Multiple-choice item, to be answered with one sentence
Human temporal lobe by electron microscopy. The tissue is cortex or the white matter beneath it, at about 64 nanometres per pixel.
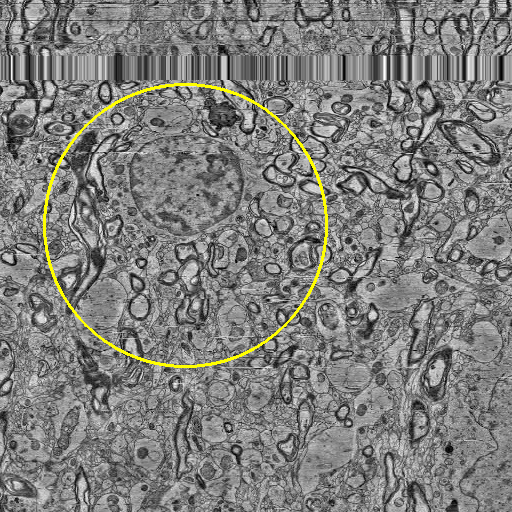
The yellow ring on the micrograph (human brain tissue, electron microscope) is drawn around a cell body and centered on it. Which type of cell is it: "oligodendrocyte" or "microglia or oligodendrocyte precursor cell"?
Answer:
The ring is centered on an oligodendrocyte.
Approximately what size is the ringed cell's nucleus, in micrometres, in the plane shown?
About 7 micrometres across in this plane.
